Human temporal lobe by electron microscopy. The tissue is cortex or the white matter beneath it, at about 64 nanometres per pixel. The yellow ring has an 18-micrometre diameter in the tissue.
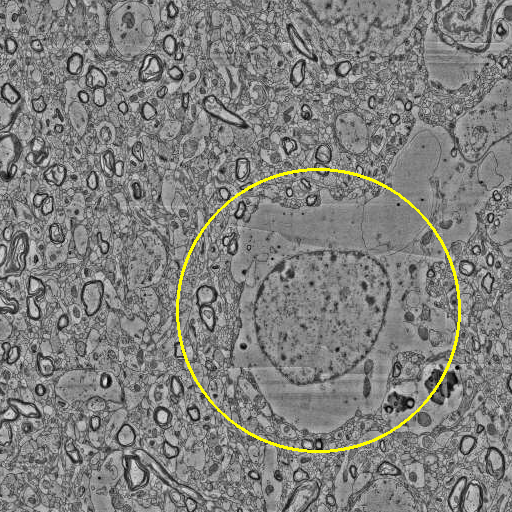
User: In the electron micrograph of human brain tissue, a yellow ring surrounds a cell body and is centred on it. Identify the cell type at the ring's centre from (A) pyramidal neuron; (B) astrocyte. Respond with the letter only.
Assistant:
B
